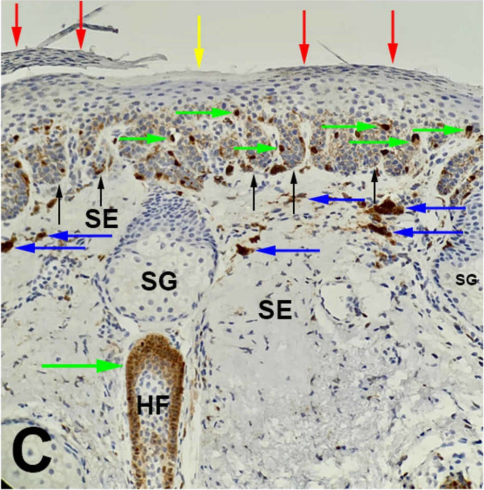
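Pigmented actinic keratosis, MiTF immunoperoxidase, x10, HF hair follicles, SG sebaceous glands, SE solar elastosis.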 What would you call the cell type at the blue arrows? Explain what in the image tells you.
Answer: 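Melanophages. The arrowed cells lie in the dermis below the epidermis. They are irregular cells packed with coarse brown pigment.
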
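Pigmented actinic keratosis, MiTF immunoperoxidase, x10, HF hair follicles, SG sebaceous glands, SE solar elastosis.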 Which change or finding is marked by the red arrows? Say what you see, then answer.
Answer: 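Parakeratosis. The arrows point at the cornified layer on the skin surface. The cornified layer under these arrows holds retained flat nuclei.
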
